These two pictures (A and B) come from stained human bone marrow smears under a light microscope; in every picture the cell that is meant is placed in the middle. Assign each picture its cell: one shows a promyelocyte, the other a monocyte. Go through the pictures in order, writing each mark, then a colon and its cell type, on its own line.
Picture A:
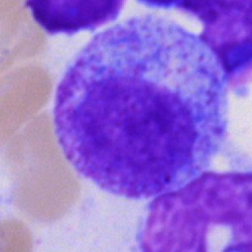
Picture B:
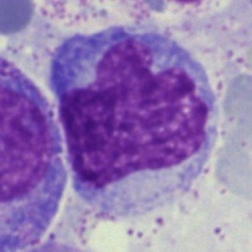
A: promyelocyte
B: monocyte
